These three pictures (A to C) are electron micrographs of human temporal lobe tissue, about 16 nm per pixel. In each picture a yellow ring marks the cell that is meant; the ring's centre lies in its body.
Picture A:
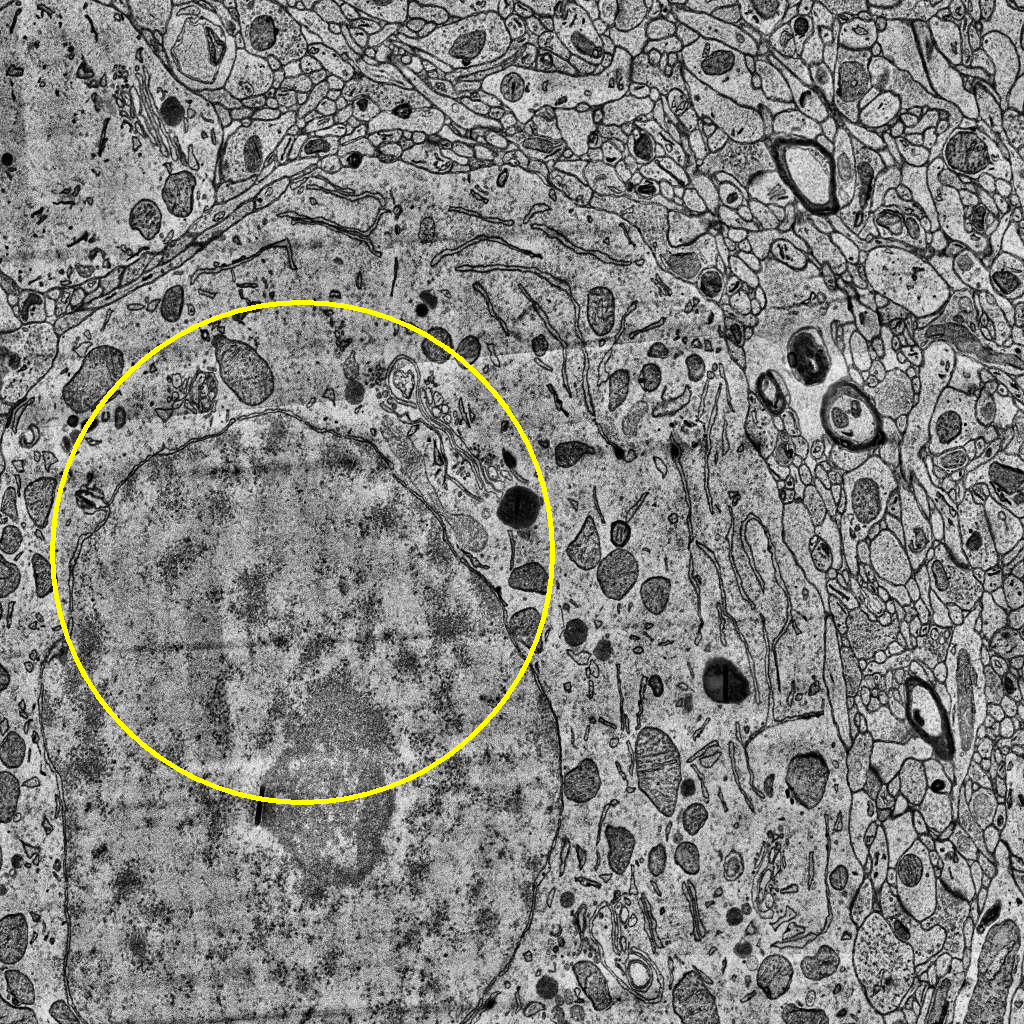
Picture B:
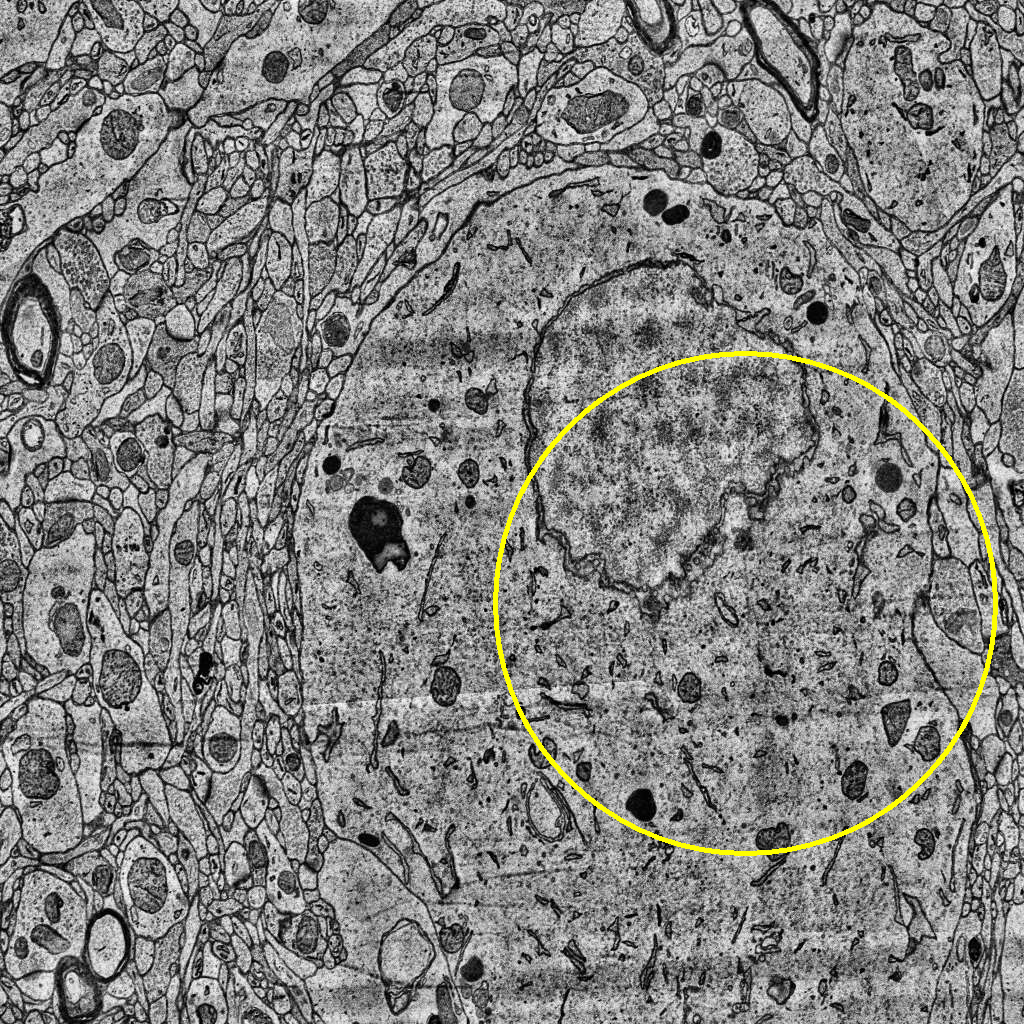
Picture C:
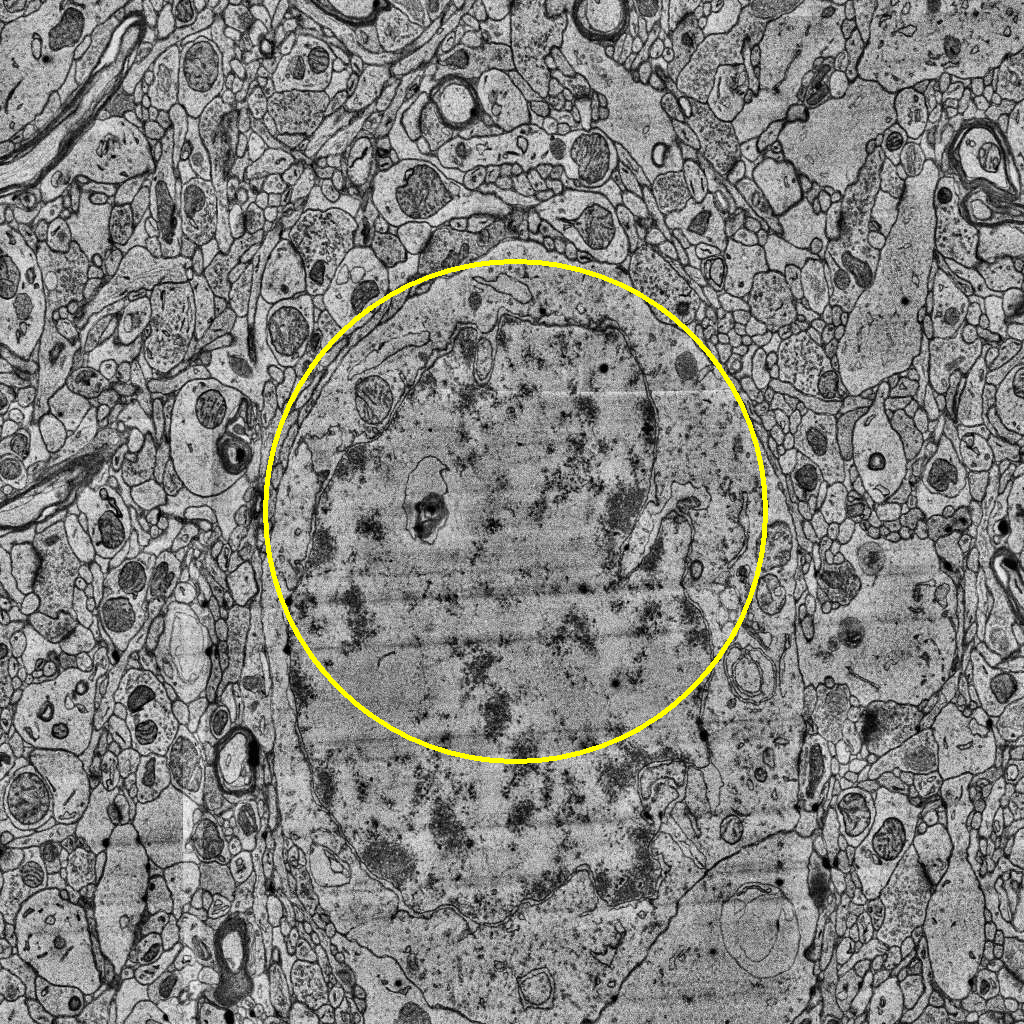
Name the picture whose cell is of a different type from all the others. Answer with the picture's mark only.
B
